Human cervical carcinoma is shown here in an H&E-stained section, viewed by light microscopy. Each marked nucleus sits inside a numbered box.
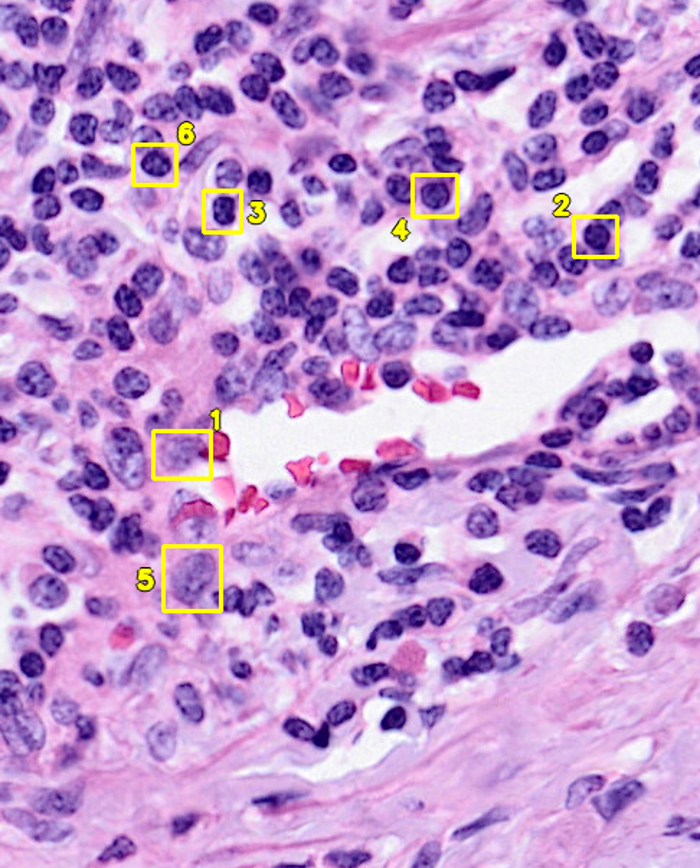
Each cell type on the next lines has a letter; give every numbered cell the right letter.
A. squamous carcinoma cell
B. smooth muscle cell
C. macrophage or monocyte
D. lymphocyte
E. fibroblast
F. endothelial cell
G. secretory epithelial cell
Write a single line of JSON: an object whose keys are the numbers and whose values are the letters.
{"1": "F", "2": "D", "3": "D", "4": "D", "5": "F", "6": "D"}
